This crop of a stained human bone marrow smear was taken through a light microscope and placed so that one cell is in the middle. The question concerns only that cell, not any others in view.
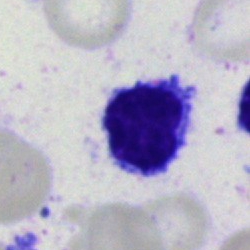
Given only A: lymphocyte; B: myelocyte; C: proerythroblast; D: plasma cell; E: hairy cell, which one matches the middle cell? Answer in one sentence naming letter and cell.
Option A is accurate; the centrally placed cell is a lymphocyte.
